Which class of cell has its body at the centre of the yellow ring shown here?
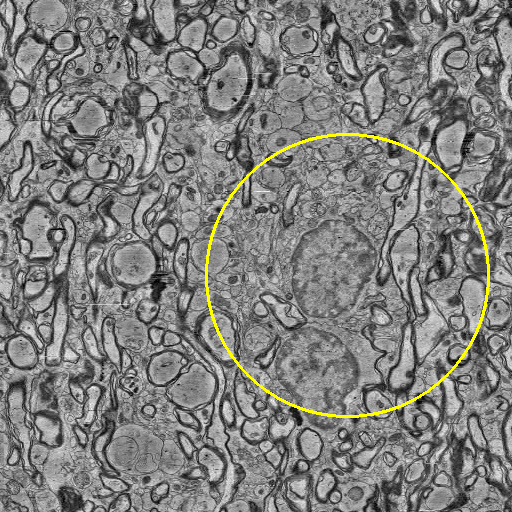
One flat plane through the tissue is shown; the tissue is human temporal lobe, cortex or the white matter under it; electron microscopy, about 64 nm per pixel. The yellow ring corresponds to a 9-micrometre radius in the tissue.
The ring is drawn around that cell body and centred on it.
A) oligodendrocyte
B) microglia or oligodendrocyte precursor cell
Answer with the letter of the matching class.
A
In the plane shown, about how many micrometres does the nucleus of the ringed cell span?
The nucleus appears roughly 7 by 5 micrometres in this plane.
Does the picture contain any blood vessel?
No, no blood vessel shows in the picture.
